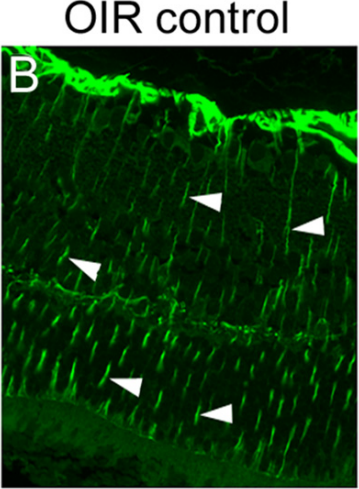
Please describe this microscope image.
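This section of retina shows intense green labelling at the inner retinal surface, from which numerous slender, straight Müller cell processes run radially through the inner and outer nuclear layers. The processes are regularly spaced and oriented perpendicular to the layers, giving the retina a striated appearance, with additional labelling along a horizontal band between the nuclear layers.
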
